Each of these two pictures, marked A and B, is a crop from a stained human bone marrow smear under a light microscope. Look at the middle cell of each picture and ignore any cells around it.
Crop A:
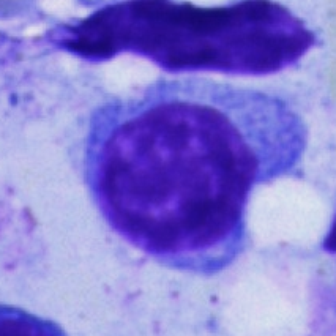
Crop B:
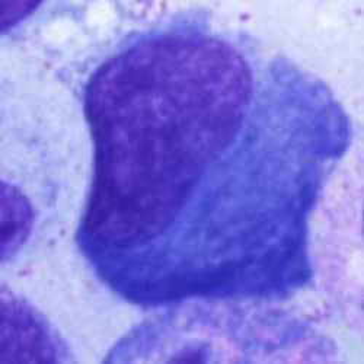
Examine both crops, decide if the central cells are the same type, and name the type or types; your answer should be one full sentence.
No, crop A shows a lymphocyte, whereas in crop B the cell is a plasma cell.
